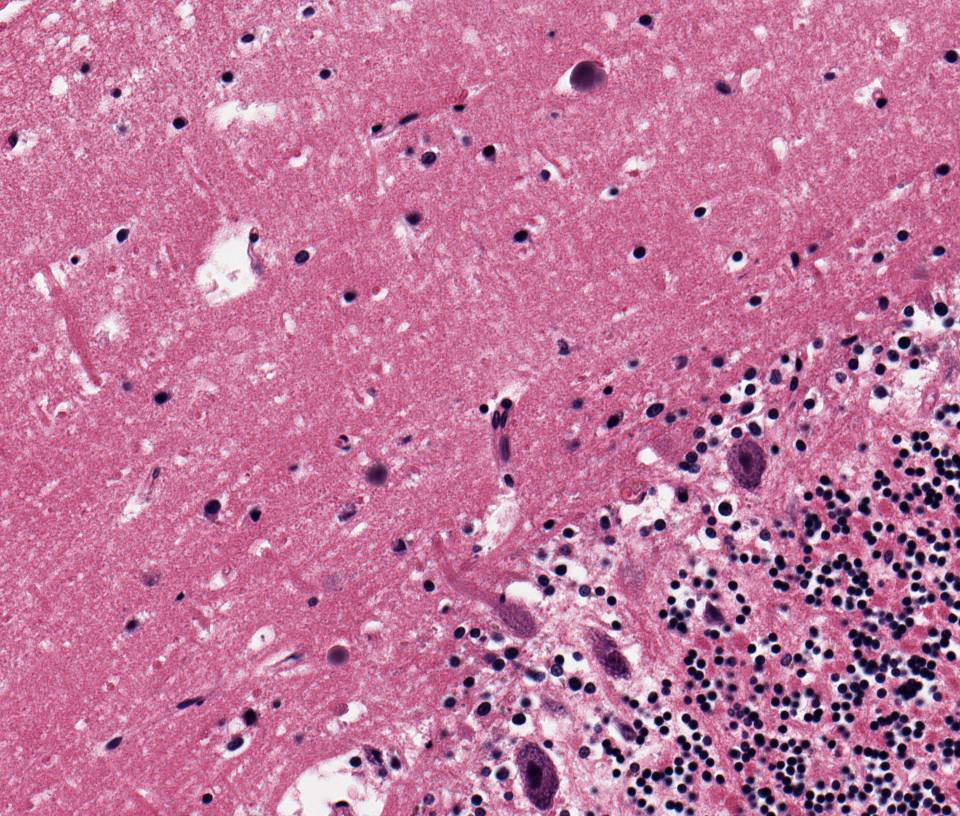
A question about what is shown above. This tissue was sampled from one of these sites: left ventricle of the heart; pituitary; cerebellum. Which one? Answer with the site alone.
cerebellum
